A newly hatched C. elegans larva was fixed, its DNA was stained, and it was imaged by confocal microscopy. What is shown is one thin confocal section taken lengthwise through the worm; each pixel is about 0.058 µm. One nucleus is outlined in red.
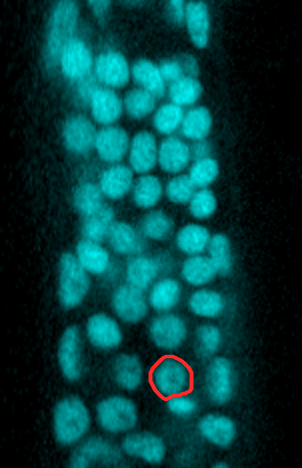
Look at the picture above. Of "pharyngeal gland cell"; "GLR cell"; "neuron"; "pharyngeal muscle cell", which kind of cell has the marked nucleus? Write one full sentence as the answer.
The marked cell is a pharyngeal muscle cell.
